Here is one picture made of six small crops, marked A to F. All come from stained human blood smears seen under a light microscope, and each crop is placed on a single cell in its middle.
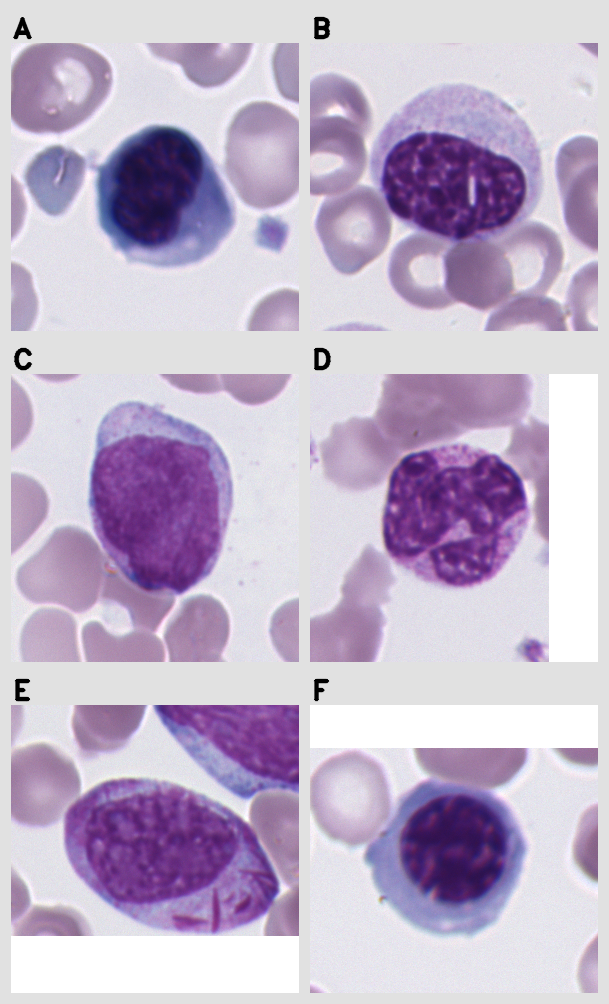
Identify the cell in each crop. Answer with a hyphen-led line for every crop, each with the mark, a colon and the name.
- A: normoblast
- B: metamyelocyte
- C: atypical promyelocyte
- D: segmented neutrophil
- E: atypical promyelocyte
- F: normoblast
